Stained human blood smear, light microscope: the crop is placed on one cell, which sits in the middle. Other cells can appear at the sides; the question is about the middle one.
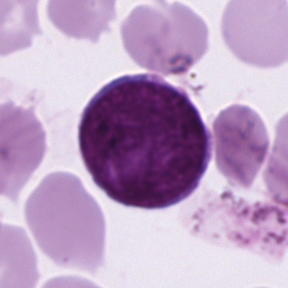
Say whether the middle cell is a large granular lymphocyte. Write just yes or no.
no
